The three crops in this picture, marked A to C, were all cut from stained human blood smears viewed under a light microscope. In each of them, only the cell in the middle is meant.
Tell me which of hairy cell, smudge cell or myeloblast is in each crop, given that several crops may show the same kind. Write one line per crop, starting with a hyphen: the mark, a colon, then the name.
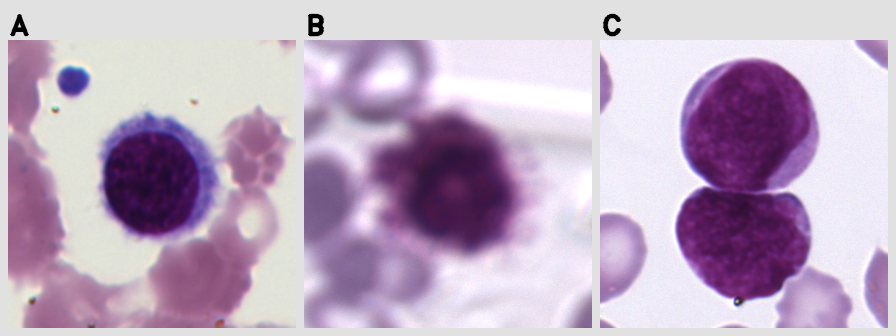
- A: hairy cell
- B: smudge cell
- C: myeloblast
